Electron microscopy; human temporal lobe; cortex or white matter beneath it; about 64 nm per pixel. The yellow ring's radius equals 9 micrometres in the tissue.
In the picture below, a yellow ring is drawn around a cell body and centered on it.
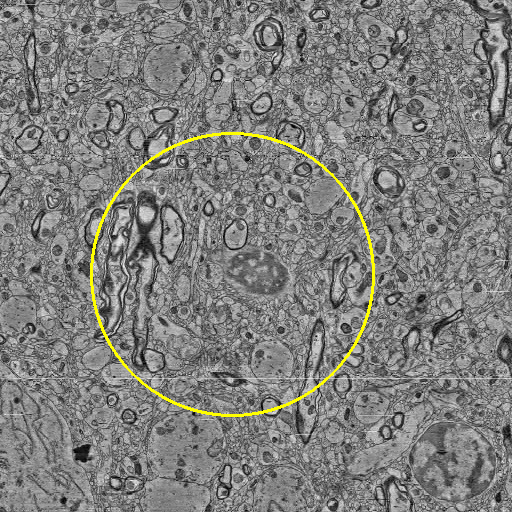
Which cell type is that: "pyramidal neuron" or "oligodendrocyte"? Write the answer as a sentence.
The cell centered in the ring is an oligodendrocyte.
